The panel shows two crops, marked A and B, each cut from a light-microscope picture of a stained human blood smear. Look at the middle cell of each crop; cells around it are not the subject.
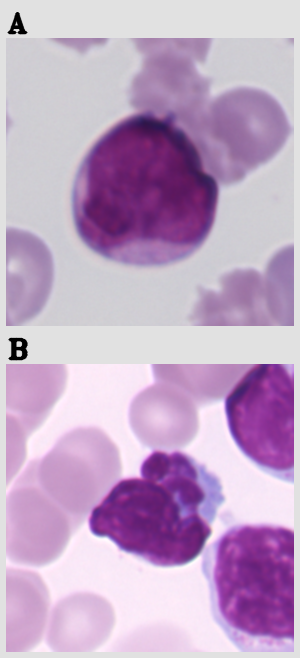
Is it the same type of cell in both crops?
no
